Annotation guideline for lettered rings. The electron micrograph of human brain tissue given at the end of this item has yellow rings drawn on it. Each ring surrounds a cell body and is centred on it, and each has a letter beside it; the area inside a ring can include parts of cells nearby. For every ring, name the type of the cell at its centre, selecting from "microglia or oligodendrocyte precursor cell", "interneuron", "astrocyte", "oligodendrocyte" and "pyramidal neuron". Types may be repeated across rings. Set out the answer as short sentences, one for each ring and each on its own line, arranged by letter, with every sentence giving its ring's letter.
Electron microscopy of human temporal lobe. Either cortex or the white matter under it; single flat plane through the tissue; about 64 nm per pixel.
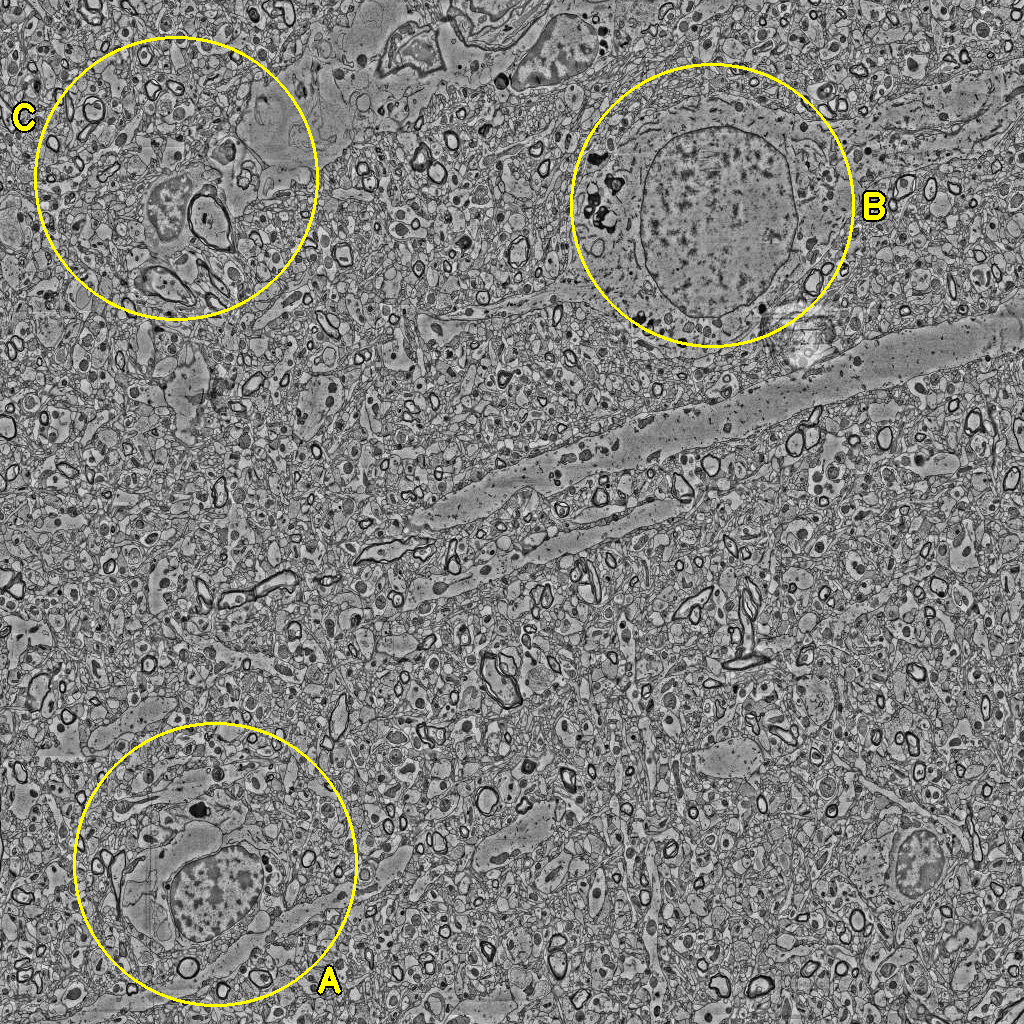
The cell centred in ring A is a microglial cell or oligodendrocyte precursor cell.
The cell centred in ring B is a pyramidal neuron.
The cell centred in ring C is an oligodendrocyte.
